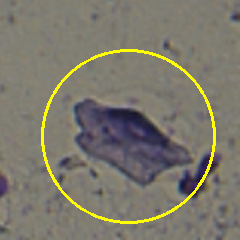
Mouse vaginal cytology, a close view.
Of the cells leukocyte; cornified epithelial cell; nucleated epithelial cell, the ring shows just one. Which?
The ring shows a cornified epithelial cell.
